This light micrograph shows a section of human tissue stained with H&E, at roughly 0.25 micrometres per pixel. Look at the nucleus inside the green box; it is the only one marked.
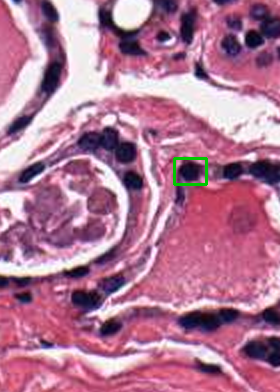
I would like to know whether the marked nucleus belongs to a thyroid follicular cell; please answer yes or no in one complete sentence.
Yes, here the marked nucleus belongs to a thyroid follicular cell.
